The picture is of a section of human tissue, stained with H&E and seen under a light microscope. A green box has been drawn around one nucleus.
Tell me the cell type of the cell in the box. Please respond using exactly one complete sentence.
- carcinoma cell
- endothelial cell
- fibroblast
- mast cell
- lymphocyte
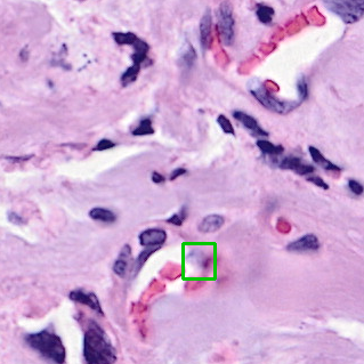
Histopathologically, the cell in the box is an endothelial cell.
